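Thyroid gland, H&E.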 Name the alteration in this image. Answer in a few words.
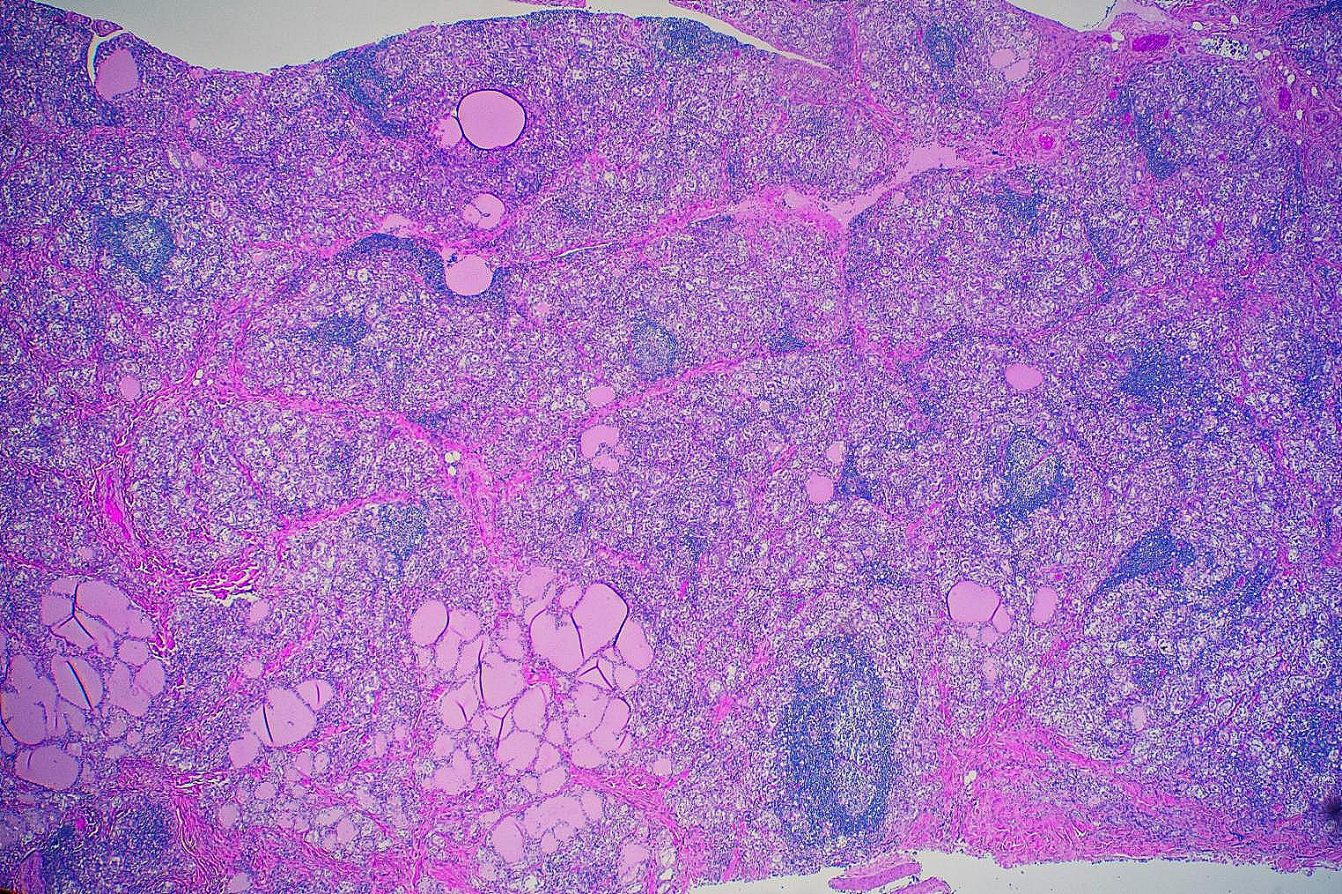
Florid lymphocytic thyroiditis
